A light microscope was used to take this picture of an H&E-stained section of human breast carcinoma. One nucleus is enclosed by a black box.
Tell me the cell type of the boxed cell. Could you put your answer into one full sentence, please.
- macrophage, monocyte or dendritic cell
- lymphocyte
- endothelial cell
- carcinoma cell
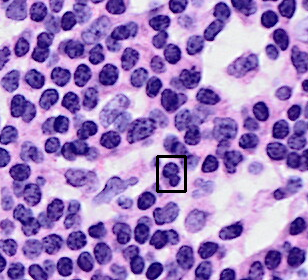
By its classification, the boxed cell is a lymphocyte.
